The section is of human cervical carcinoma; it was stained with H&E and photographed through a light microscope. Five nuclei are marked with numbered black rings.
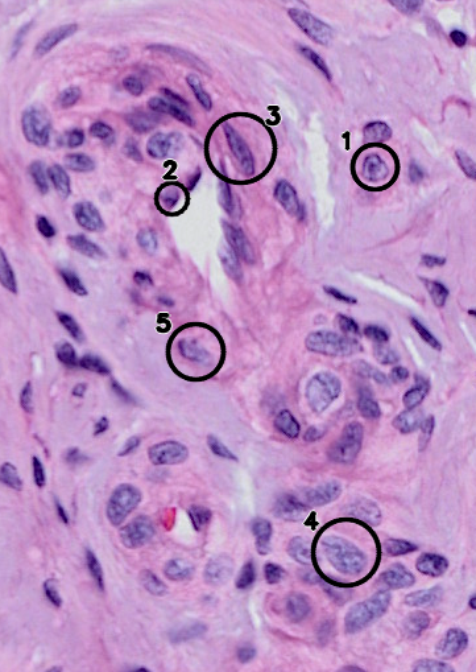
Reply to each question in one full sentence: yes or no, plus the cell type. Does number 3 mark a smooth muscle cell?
Yes, regarding cell number 3, it is a smooth muscle cell.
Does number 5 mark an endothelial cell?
No, cell 5 is to be read as a smooth muscle cell, not an endothelial cell.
